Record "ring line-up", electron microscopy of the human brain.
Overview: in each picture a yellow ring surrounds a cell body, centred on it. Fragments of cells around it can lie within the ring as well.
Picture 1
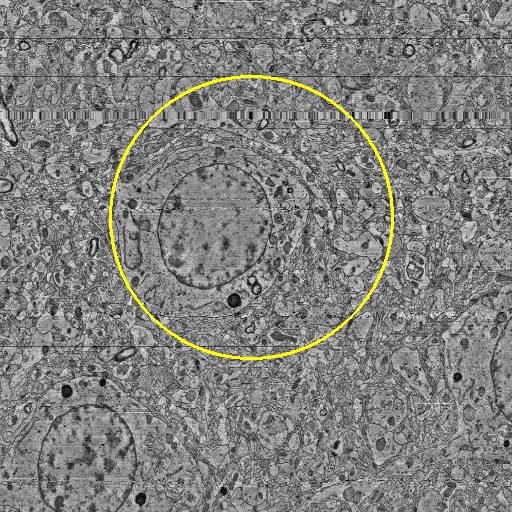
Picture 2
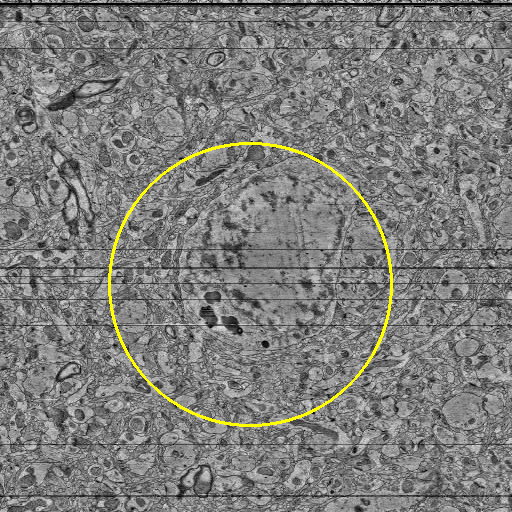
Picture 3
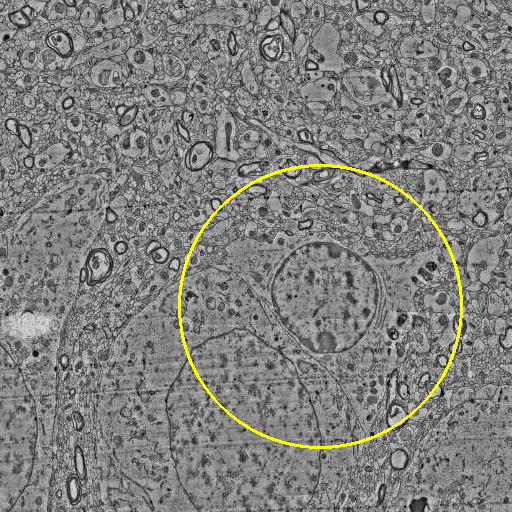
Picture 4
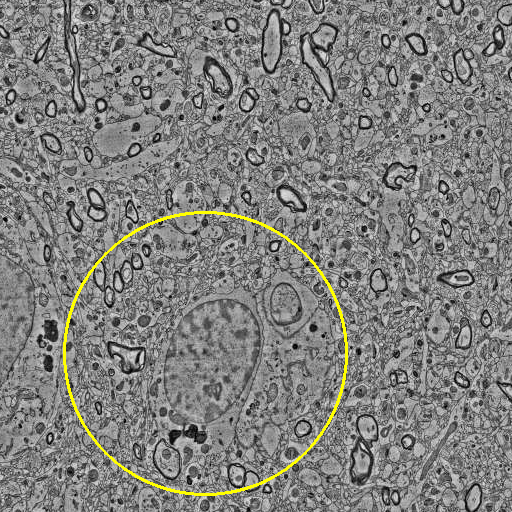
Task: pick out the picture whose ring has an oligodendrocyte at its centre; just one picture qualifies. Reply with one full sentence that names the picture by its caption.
Going by the cell at the ring's centre, the right choice is Picture 4.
